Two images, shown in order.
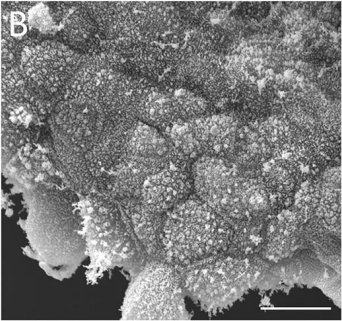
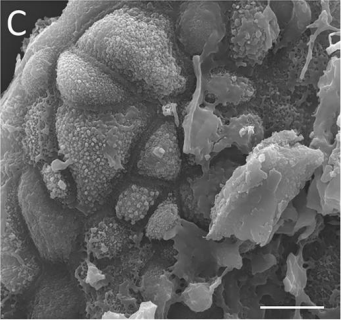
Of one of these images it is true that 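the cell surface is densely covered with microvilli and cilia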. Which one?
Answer: the first image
